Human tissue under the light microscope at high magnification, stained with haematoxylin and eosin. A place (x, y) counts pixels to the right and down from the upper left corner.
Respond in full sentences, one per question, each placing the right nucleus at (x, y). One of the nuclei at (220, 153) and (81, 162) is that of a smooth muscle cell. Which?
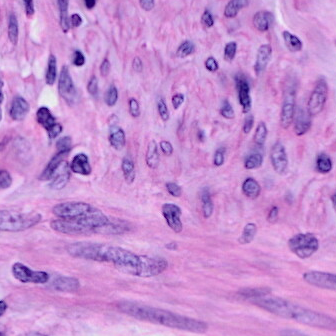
The nucleus whose cell is a smooth muscle cell is the one at (220, 153).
